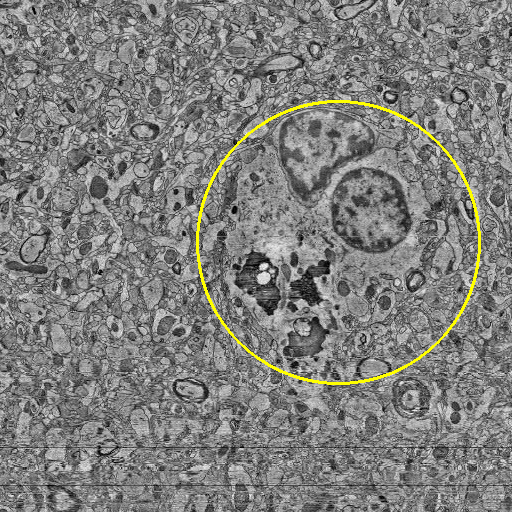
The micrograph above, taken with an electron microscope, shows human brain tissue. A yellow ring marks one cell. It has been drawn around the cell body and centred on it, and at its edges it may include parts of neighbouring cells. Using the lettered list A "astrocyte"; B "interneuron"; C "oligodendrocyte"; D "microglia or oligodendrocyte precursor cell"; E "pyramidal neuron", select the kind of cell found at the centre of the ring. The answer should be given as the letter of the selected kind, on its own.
A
